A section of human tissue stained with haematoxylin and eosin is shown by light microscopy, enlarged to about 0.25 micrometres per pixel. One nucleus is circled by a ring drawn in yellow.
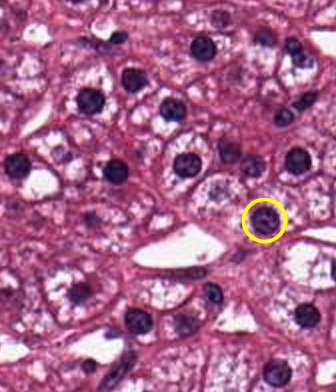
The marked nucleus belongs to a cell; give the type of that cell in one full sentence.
The marked nucleus is that of an adrenal cortical cell.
